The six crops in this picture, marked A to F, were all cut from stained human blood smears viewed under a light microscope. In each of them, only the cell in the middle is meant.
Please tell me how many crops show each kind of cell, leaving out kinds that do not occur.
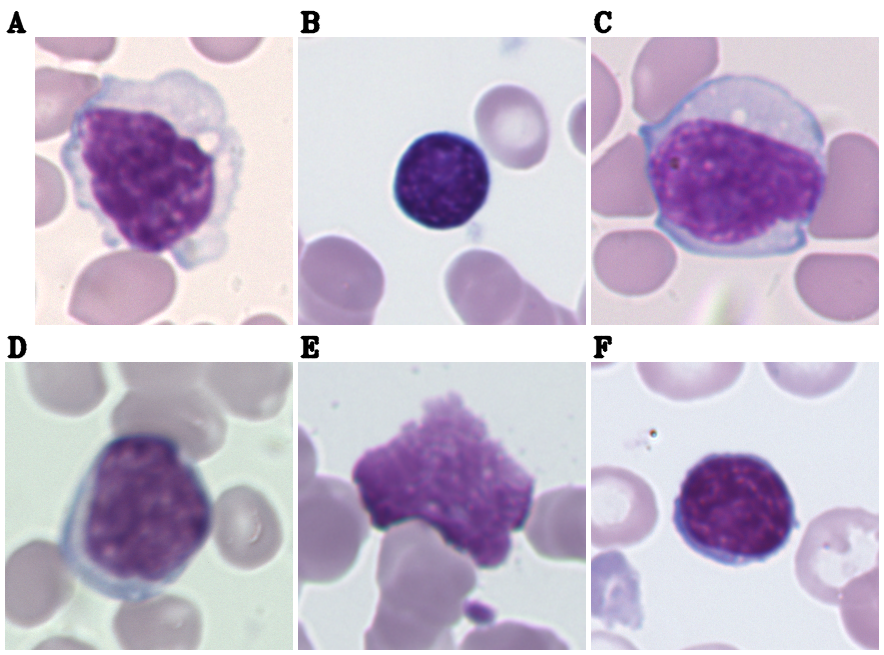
myeloblast: 3
typical lymphocyte: 2
smudge cell: 1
